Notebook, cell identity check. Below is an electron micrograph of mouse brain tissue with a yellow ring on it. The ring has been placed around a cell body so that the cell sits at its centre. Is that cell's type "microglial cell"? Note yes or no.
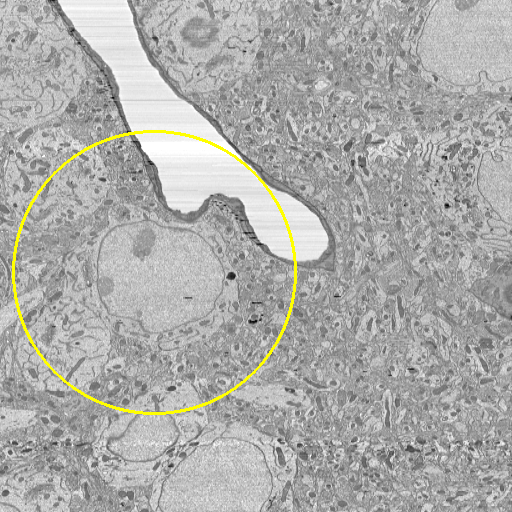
No, its cell type is another one.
